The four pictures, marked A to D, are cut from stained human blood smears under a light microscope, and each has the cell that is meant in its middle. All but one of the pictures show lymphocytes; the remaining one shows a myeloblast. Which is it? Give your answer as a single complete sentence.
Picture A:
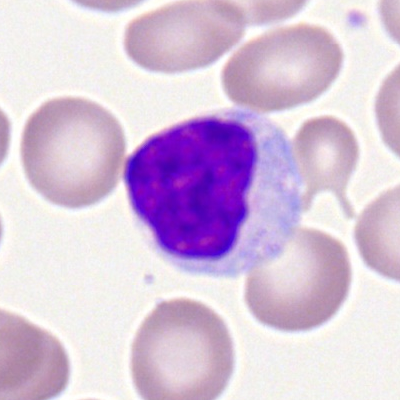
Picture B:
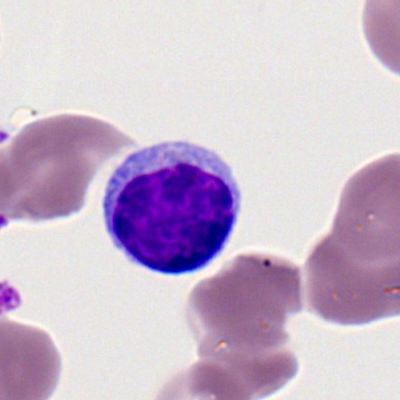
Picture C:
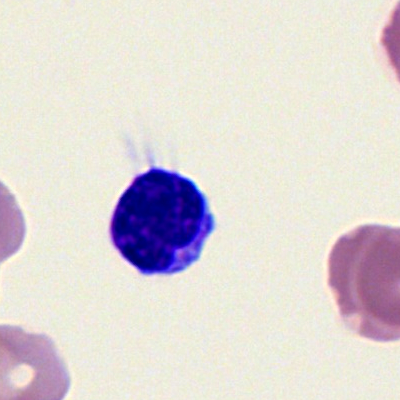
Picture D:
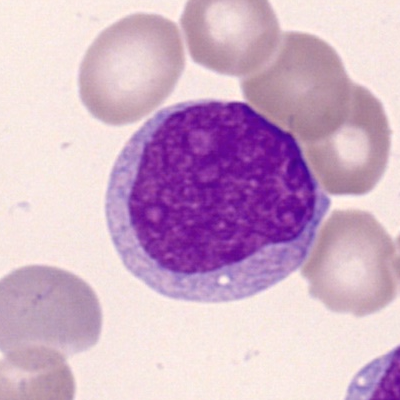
Picture D shows the myeloblast.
